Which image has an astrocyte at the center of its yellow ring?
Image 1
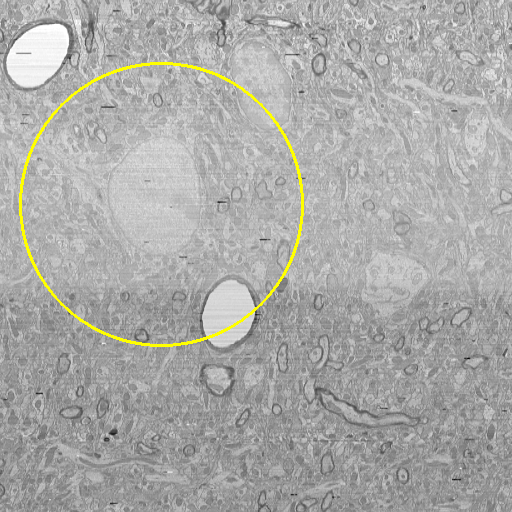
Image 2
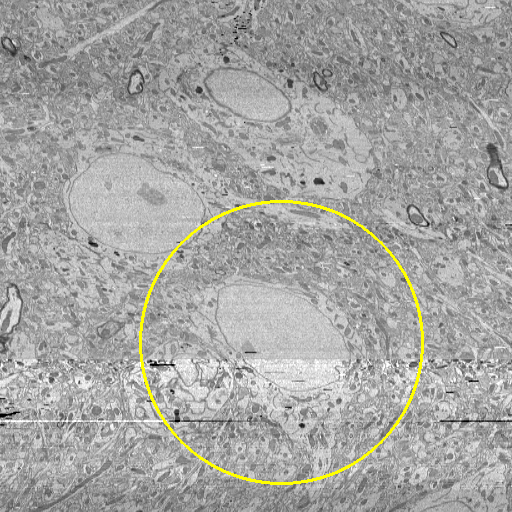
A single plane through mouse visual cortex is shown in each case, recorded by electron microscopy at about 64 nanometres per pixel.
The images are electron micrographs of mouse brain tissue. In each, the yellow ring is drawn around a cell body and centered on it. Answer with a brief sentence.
It is at the center of the ring in Image 1.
